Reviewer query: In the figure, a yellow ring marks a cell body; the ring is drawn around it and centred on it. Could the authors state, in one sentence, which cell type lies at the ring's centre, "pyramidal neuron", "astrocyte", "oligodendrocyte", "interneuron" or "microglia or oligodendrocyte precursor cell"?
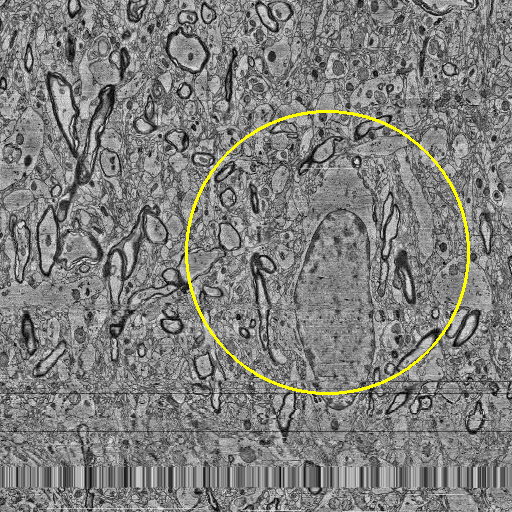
The ring is centred on a microglial cell or oligodendrocyte precursor cell.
